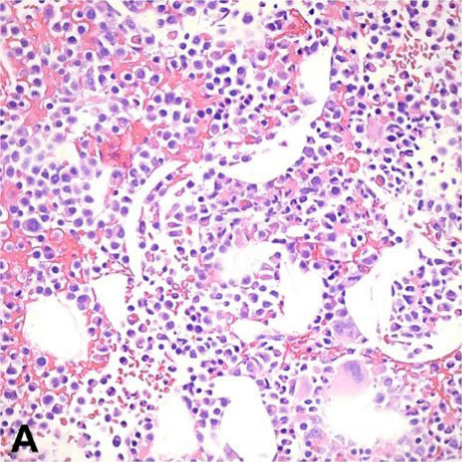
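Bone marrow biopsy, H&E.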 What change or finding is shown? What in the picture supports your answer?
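Marrow spaces are packed with sheets of round cells. Many cells have eccentric round nuclei and ample pink-purple cytoplasm. So: plasma cell neoplasm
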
